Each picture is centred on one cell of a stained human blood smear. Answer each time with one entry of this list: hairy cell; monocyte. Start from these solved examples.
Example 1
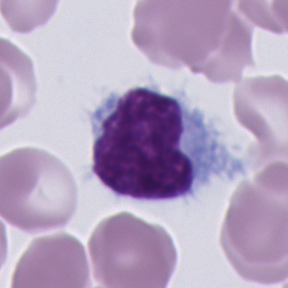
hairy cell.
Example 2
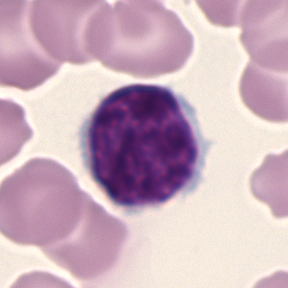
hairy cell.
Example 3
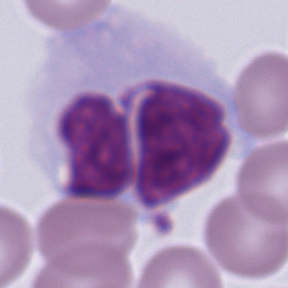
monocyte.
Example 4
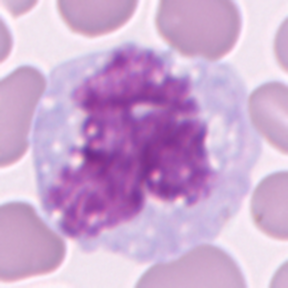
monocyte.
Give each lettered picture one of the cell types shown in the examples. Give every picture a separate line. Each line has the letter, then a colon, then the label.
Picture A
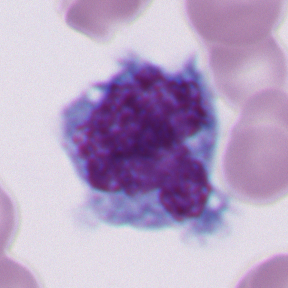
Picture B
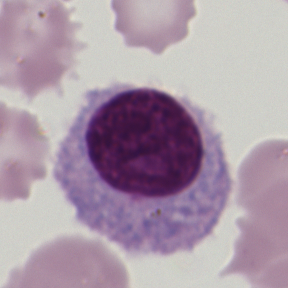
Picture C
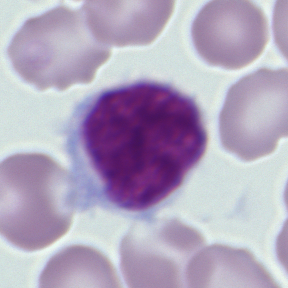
A: monocyte.
B: hairy cell.
C: hairy cell.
